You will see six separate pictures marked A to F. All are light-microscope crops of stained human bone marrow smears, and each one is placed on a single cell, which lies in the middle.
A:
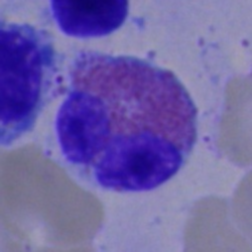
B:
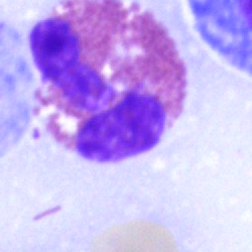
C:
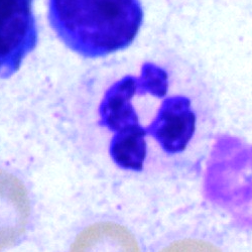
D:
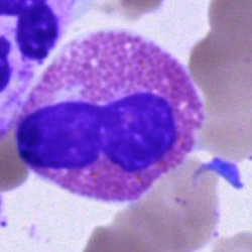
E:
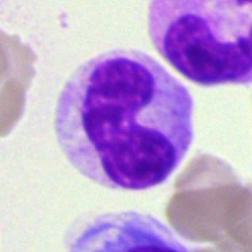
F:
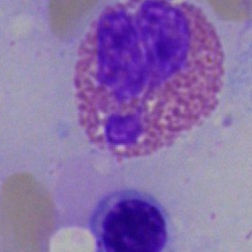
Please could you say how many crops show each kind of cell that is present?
eosinophil: 4
segmented neutrophil: 1
band neutrophil: 1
